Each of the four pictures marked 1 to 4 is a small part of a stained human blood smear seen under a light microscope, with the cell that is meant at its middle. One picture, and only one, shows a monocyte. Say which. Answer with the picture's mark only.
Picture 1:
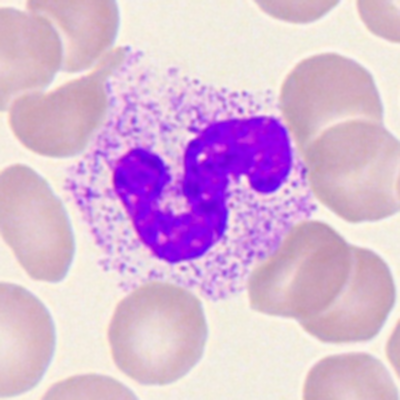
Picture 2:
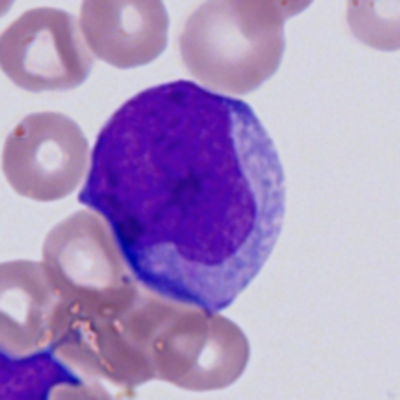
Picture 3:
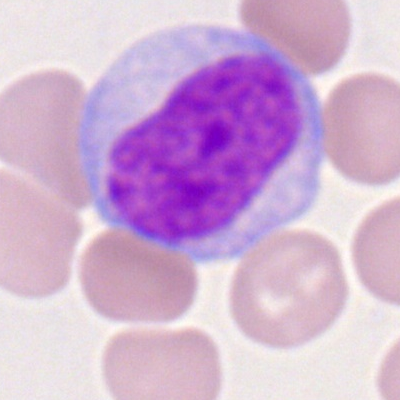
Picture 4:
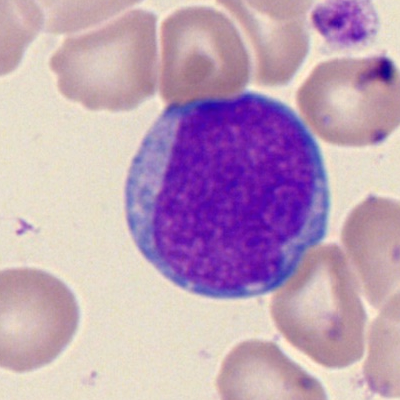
3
